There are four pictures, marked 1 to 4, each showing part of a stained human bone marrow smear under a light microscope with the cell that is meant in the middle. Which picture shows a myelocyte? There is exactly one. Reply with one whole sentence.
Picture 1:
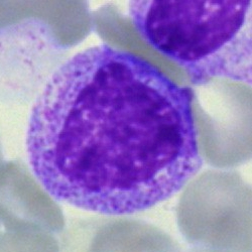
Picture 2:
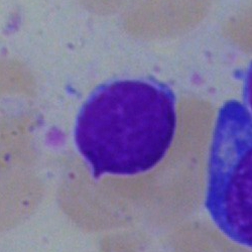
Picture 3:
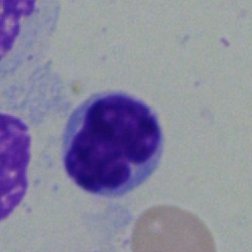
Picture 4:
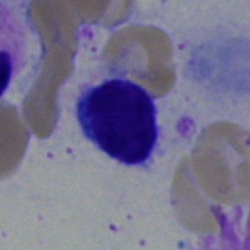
The cell in picture 1 is the myelocyte.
